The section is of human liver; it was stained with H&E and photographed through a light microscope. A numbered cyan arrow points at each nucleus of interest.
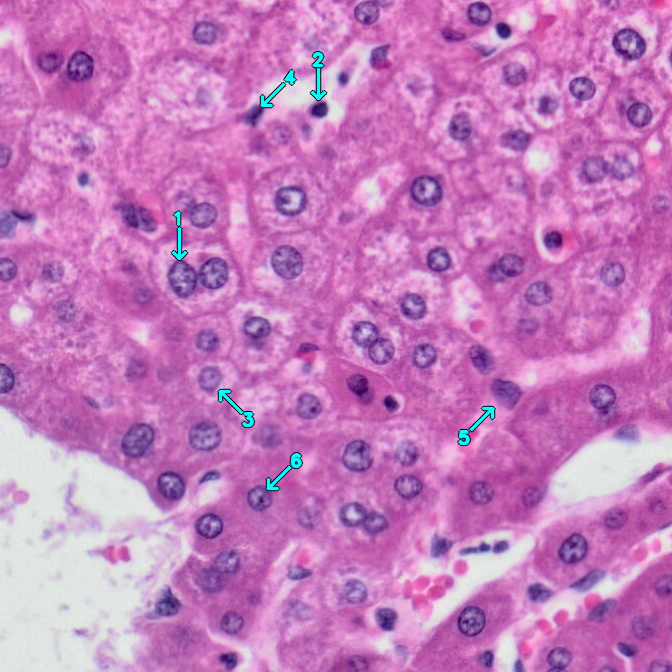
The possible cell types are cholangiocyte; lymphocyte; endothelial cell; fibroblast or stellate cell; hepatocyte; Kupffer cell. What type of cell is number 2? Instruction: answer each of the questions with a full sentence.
The cell referred to as 2 is a lymphocyte.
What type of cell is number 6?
The correct label for cell 6 is a hepatocyte.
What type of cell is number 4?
In this section, the cell numbered 4 is an endothelial cell.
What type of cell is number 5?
The cell bearing label 5 corresponds to an endothelial cell.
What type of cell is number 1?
The mark numbered 1 indicates the nucleus of a hepatocyte.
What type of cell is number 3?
In the marked set, the cell given number 3 is a hepatocyte.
